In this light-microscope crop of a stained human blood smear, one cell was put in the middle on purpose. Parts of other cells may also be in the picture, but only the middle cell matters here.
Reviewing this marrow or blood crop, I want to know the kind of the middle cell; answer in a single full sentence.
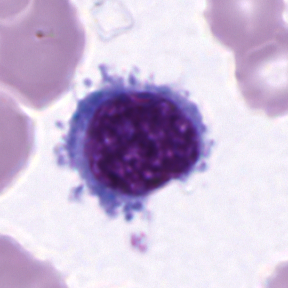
Seen at the centre of the crop is a plasma cell.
